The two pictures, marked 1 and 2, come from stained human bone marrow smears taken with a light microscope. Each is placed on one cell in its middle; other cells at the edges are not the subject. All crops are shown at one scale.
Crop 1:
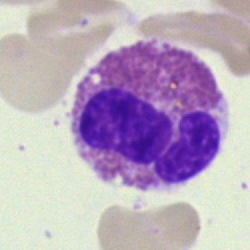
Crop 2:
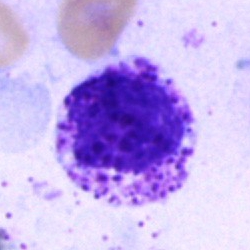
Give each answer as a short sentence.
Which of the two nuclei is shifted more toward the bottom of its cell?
Seen within its cell, the nucleus in crop 1 lies further toward the bottom.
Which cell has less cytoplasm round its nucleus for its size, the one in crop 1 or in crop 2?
In crop 2 the nucleus takes up the larger part of its cell.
